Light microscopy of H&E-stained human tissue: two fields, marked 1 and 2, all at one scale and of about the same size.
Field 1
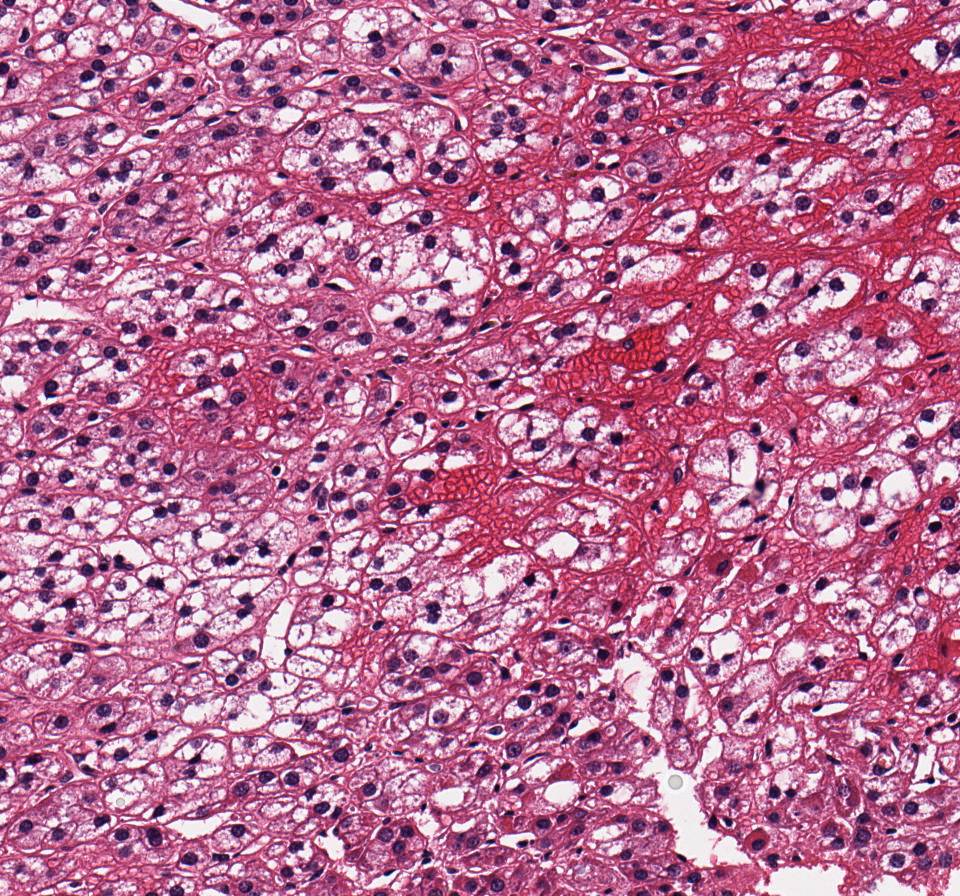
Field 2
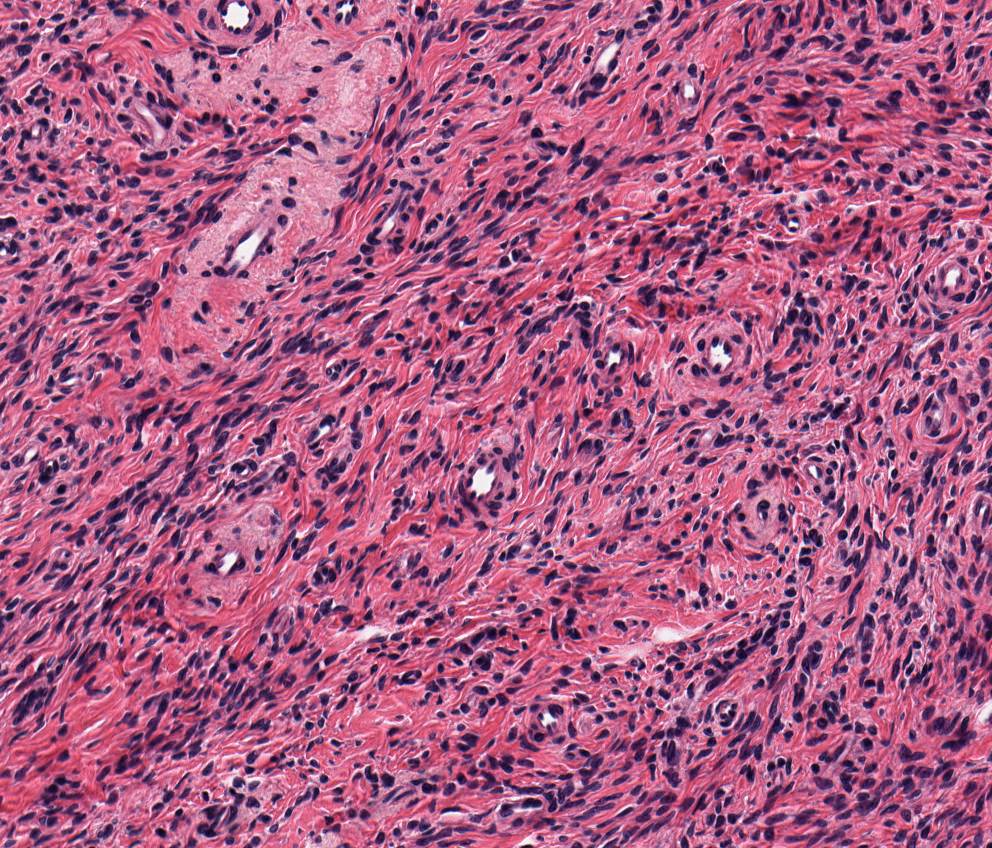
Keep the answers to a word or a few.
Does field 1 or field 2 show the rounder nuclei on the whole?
1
